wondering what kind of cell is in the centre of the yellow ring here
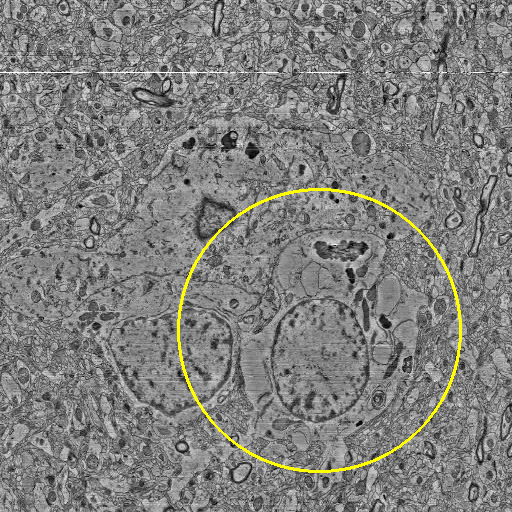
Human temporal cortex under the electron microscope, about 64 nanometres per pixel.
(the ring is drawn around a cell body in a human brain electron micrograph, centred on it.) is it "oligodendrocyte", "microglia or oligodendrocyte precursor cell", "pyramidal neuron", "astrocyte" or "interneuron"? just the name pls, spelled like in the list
astrocyte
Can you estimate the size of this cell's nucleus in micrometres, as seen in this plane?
In this plane, approximately 8 by 6 micrometers.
